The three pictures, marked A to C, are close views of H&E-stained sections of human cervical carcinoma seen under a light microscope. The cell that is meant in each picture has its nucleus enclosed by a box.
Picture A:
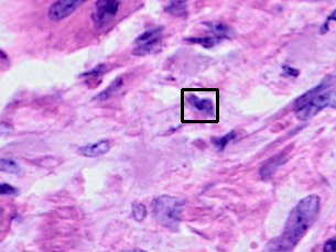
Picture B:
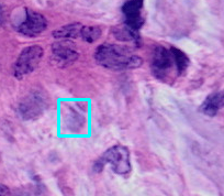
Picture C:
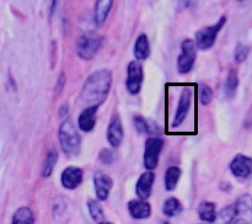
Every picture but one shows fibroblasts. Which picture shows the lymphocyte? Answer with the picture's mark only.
C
